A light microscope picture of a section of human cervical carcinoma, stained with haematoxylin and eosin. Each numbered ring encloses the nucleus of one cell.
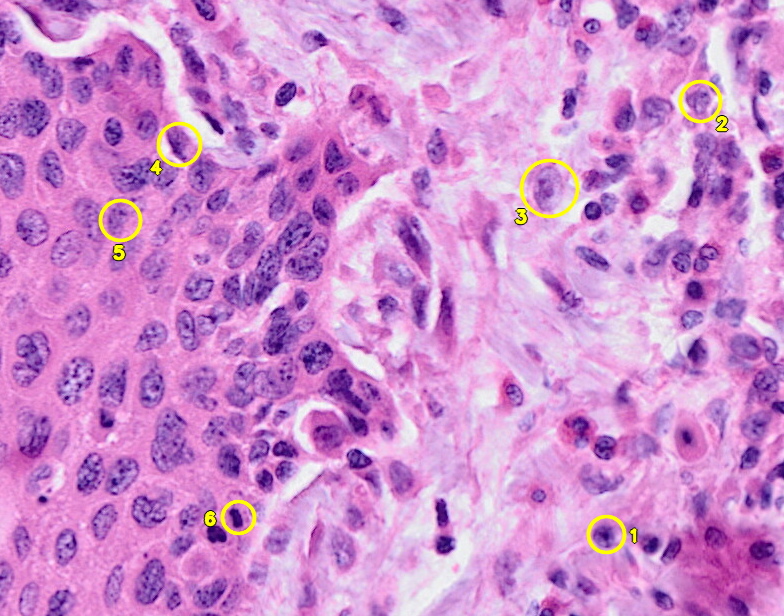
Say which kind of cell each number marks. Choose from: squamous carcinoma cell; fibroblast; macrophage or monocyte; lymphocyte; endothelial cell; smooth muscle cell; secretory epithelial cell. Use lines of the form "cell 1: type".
cell 1: lymphocyte
cell 2: macrophage or monocyte
cell 3: fibroblast
cell 4: squamous carcinoma cell
cell 5: squamous carcinoma cell
cell 6: squamous carcinoma cell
